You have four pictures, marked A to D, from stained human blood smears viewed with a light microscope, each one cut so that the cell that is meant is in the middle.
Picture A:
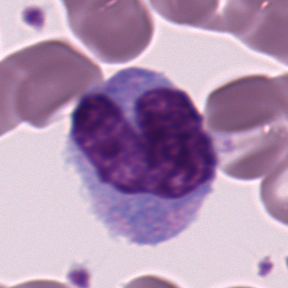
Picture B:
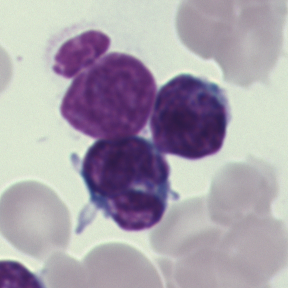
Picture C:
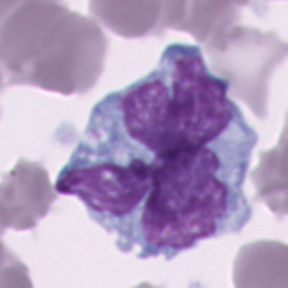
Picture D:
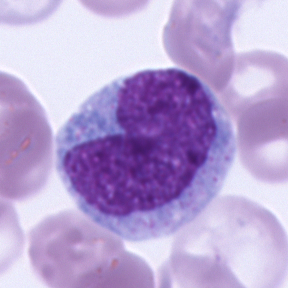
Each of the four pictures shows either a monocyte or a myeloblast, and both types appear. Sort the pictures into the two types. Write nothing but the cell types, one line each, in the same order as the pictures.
monocyte
myeloblast
monocyte
monocyte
